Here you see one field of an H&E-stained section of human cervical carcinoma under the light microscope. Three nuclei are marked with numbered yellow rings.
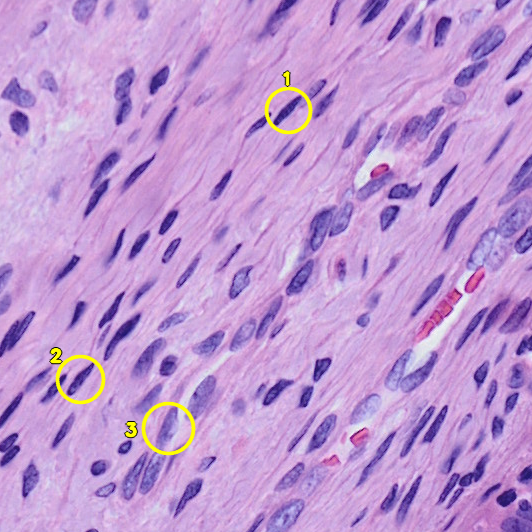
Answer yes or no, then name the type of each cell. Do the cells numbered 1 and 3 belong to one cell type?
No, rather, cell 1 is a fibroblast and cell 3 is an endothelial cell.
